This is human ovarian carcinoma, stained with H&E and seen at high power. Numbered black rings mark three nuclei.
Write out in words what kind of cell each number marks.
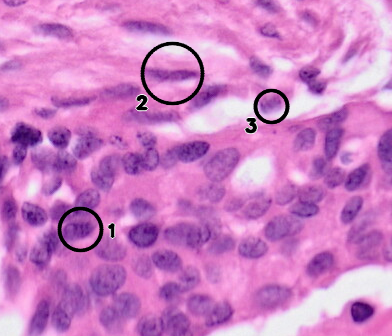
Cell 1 is a carcinoma cell, cell 2 is a fibroblast and cell 3 is a fibroblast.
